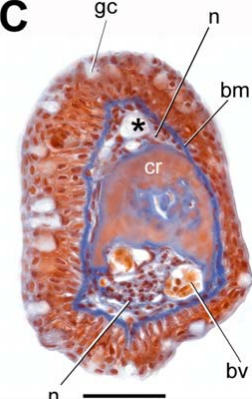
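A transverse section through a barbel, an oval organ covered by a thick, many-layered epithelium whose cells carry dark red nuclei, interspersed with rounded pale goblet cells. A thin blue line of basement membrane separates the epithelium from the core. The core is dominated by a large, pale, homogeneous central rod with a bluish centre. Above it lies a small clear lumen; below it lie bundles of nerve fibers and rounded blood vessels whose lumina are filled with orange-staining erythrocytes, all embedded in blue connective tissue.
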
